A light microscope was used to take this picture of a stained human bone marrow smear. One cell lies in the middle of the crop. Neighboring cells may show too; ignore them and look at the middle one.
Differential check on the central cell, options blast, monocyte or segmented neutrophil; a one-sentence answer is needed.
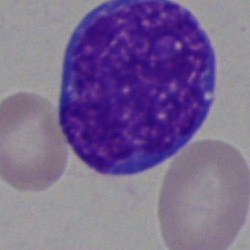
As for the central cell, it is a blast.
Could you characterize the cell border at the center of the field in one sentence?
A smooth, projection-free outline is what this cell has.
